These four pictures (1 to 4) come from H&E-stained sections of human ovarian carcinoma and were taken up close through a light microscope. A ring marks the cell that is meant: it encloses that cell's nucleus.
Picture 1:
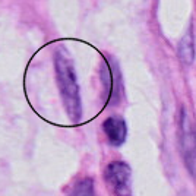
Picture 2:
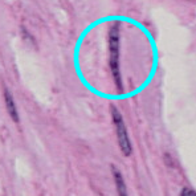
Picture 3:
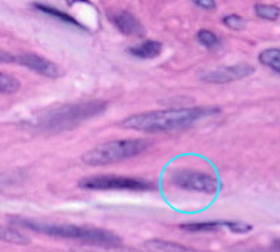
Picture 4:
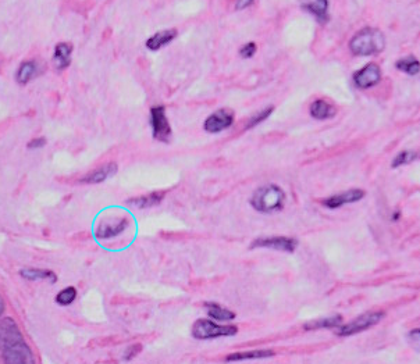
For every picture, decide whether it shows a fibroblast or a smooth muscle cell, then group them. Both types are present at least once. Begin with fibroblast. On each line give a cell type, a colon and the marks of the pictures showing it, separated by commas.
fibroblast: 1, 2, 4
smooth muscle cell: 3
